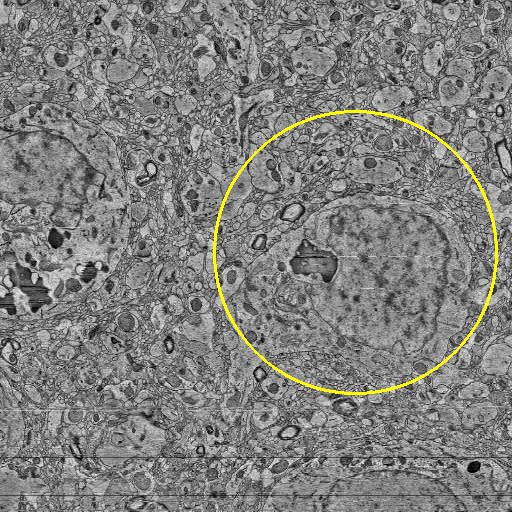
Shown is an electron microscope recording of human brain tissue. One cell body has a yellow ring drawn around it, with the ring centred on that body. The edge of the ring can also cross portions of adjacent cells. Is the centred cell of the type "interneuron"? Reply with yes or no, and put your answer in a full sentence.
Yes, in the picture, the cell on which the ring is centred has this type.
